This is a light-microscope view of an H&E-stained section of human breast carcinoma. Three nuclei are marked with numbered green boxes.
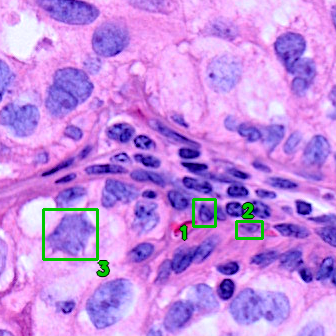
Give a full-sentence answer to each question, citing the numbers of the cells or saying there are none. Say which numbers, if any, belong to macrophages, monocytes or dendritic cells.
None among the numbered cells are macrophages, monocytes or dendritic cells.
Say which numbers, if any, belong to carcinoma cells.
Cell 3 is a carcinoma cell; the remaining numbered cells are not.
